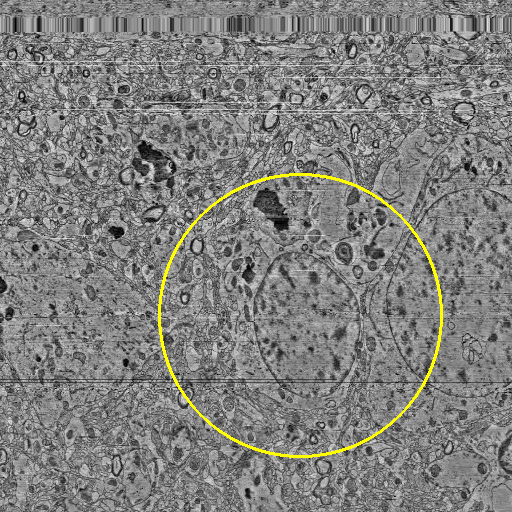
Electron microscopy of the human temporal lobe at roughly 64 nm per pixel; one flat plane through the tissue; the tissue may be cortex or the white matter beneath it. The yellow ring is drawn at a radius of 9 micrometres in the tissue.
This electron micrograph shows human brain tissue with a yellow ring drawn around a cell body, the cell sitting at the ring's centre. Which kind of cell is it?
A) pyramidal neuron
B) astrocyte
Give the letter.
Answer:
B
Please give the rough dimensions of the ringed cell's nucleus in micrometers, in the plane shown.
The ringed cell's nucleus is about 10 micrometres long and 7 micrometres wide in this plane.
